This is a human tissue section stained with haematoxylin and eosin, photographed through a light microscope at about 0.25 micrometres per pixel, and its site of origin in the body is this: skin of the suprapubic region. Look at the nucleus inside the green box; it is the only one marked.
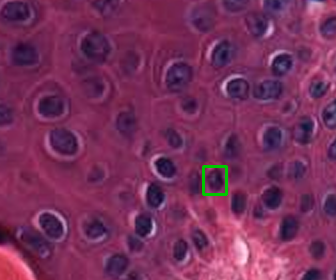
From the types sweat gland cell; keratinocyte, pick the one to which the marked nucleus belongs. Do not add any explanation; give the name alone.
keratinocyte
